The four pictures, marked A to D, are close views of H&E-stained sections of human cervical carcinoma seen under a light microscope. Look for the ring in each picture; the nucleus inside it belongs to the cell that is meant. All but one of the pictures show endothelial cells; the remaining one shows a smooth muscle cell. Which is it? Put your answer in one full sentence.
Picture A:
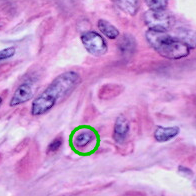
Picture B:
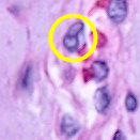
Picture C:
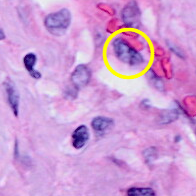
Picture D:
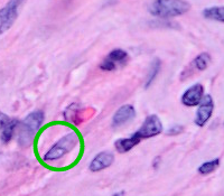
Picture A is the one that shows the smooth muscle cell.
